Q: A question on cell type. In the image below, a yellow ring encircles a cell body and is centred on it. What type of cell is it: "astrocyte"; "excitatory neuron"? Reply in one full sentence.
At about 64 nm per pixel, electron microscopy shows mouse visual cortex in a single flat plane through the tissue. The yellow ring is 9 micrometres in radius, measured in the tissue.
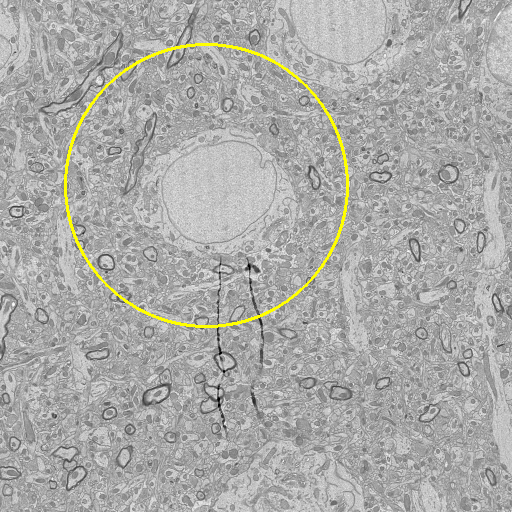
It is an excitatory neuron whose cell body sits at the centre of the yellow ring in the image.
